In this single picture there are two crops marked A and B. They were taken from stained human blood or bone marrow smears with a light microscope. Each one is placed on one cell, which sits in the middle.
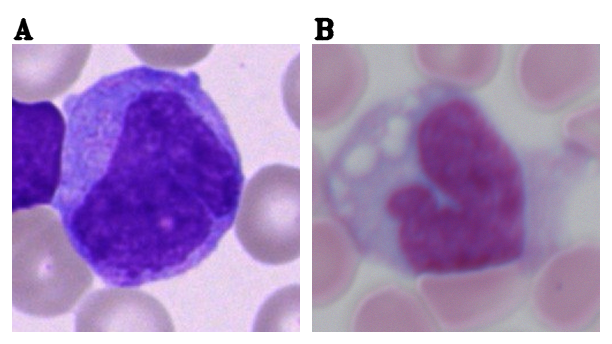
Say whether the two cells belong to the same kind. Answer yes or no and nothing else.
yes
